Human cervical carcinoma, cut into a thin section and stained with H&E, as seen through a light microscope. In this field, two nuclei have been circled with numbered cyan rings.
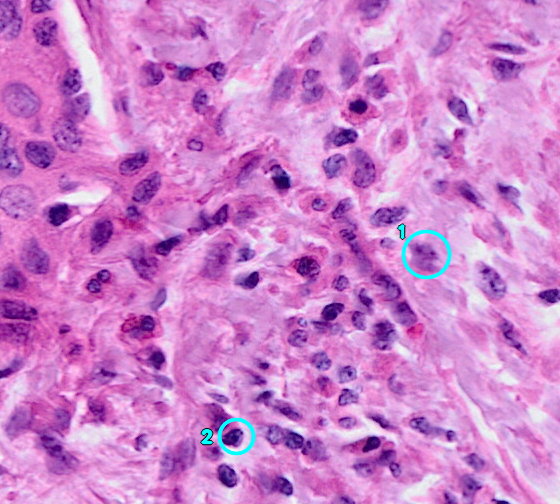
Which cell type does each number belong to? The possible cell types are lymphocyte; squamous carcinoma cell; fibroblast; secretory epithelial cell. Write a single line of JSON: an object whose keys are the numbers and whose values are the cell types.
{"1": "fibroblast", "2": "lymphocyte"}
